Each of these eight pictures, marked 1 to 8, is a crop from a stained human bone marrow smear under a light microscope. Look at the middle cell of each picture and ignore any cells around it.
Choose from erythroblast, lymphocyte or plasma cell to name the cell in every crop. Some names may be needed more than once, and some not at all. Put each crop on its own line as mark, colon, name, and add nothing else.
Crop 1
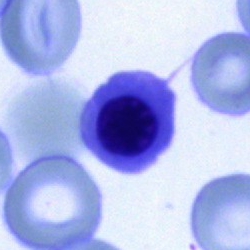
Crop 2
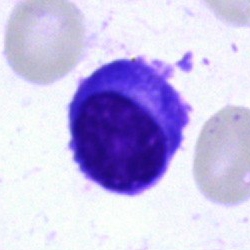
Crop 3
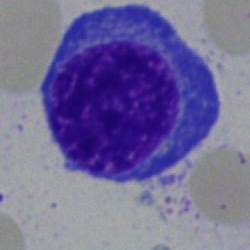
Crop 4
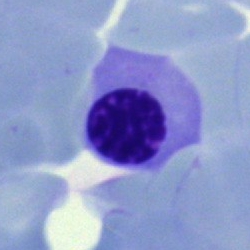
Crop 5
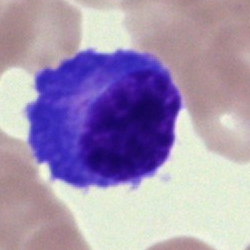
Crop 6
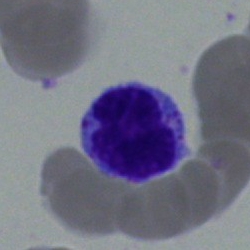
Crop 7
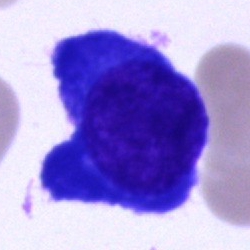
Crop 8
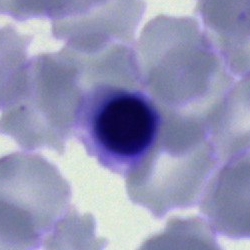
1: erythroblast
2: plasma cell
3: plasma cell
4: erythroblast
5: plasma cell
6: lymphocyte
7: plasma cell
8: erythroblast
